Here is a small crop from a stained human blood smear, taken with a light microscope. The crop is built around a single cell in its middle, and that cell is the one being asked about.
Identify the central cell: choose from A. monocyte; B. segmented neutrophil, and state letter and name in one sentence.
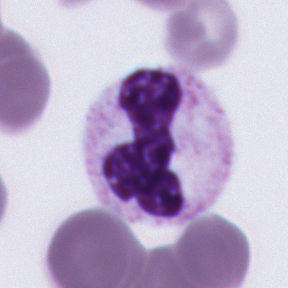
Option B is right in identifying the central cell as a segmented neutrophil.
